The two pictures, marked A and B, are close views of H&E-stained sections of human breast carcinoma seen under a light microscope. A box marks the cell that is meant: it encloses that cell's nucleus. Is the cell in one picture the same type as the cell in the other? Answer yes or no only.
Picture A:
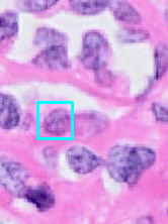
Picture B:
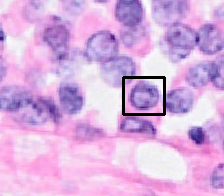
yes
